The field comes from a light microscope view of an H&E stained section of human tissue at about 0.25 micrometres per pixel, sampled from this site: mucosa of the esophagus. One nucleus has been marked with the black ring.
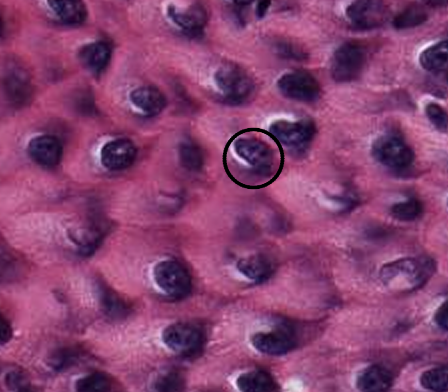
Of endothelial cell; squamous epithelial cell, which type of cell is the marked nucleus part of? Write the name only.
squamous epithelial cell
